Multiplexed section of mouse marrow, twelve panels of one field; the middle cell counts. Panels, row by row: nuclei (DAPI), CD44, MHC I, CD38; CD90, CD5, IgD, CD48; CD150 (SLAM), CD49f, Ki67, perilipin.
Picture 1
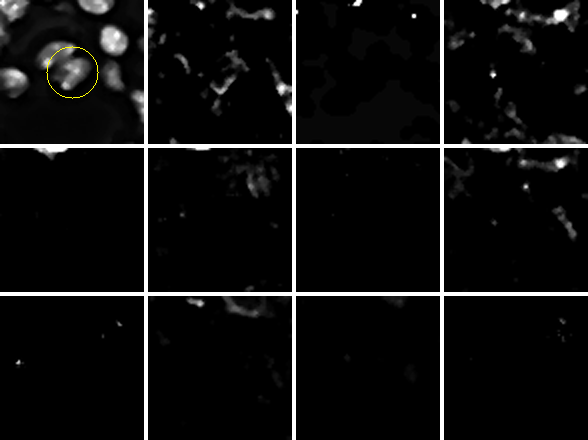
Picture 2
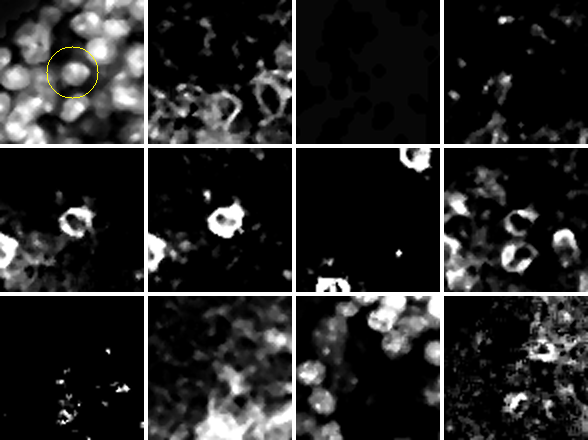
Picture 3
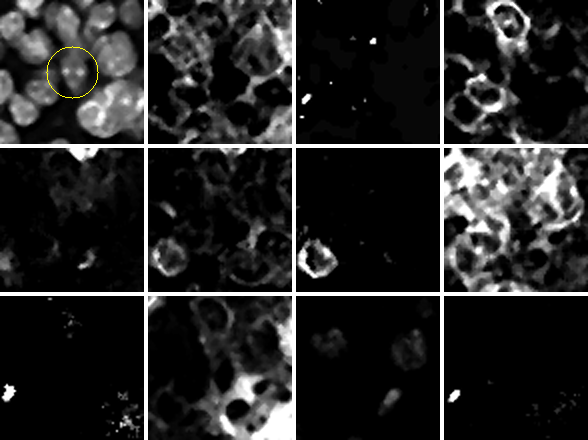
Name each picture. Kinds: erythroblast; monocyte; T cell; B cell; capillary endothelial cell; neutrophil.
1. neutrophil
2. T cell
3. capillary endothelial cell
